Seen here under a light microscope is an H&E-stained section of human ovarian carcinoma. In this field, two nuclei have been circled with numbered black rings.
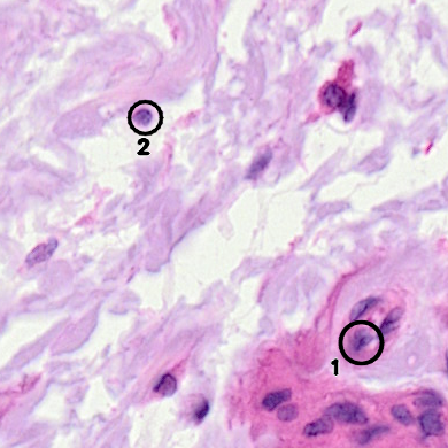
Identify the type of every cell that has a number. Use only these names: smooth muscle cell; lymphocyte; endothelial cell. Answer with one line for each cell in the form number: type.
1: endothelial cell
2: lymphocyte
